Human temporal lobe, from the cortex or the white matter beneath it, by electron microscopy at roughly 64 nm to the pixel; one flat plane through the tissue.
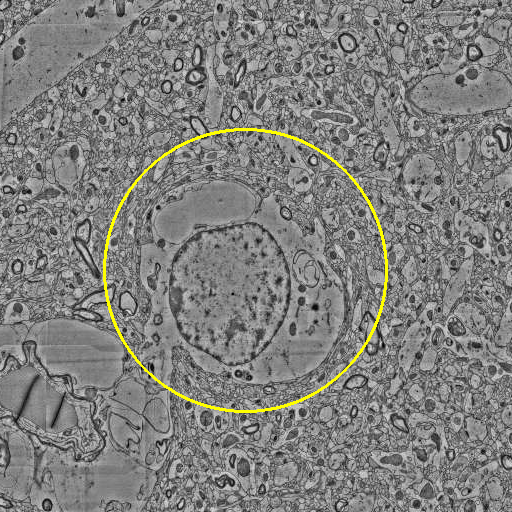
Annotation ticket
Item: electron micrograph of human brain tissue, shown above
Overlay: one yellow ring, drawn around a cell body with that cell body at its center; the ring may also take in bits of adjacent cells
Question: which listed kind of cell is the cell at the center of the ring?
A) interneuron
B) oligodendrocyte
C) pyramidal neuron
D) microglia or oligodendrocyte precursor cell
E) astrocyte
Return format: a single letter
E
